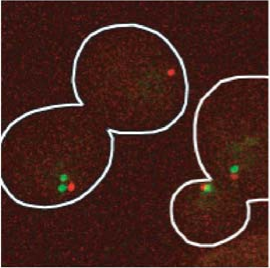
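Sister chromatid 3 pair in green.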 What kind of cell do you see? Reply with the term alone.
Budding yeast.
